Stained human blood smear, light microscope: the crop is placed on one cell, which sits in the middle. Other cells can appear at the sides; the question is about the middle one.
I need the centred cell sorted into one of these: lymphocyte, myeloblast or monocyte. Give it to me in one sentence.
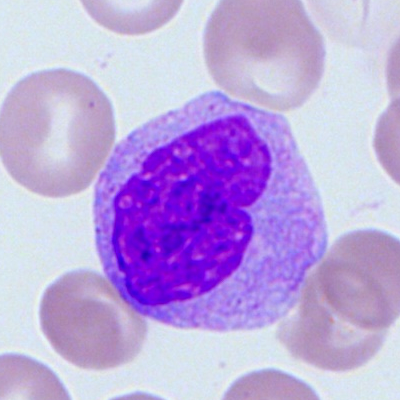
At the middle of the frame sits a monocyte.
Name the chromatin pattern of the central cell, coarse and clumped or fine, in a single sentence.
Its chromatin is finely dispersed rather than coarsely clumped.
